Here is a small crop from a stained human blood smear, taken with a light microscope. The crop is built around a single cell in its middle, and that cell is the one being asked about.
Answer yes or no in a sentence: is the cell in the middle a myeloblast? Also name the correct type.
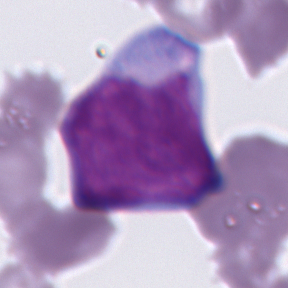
Yes, the middle cell is classified as a myeloblast.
